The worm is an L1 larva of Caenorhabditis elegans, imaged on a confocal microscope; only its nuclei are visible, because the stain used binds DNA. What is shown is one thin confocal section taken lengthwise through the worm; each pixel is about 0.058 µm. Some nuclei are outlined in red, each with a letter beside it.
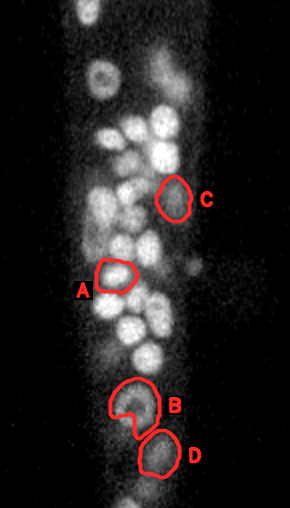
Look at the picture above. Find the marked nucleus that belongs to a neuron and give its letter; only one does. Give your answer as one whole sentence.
A is the nucleus of a neuron.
